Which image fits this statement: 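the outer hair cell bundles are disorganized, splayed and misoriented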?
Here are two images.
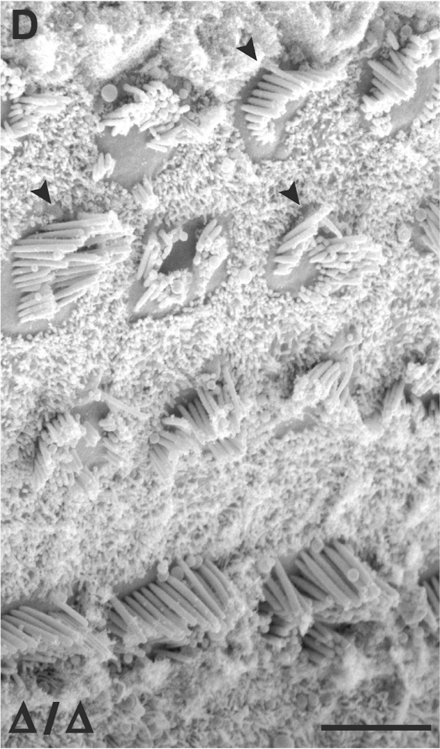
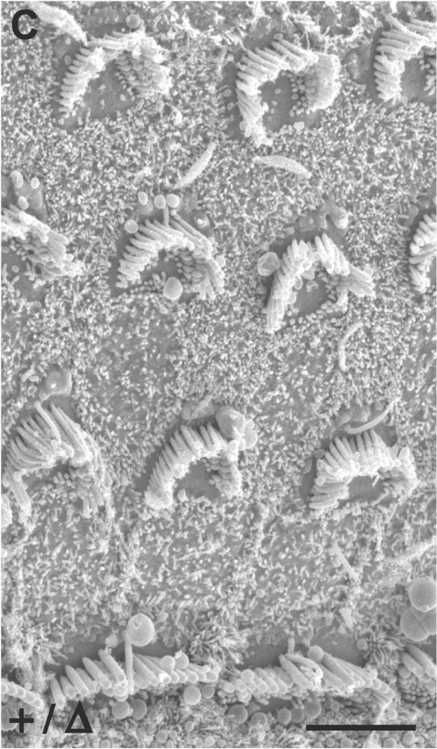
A: The first image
